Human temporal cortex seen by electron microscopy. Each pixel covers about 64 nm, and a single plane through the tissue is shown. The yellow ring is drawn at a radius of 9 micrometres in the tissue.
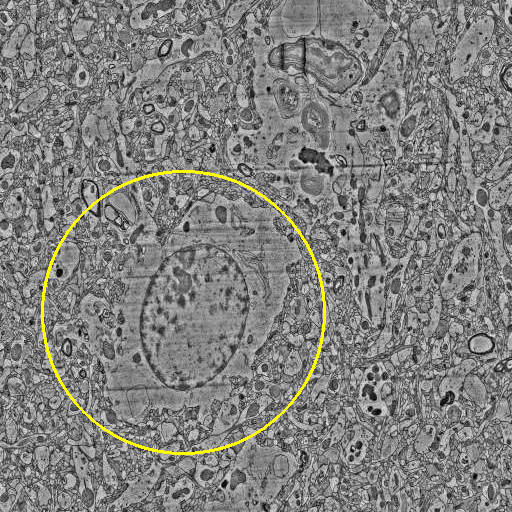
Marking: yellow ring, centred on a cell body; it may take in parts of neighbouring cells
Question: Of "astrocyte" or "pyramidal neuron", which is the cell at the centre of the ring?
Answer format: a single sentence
The ring surrounds the body of an astrocyte.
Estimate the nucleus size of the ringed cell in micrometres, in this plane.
In this plane, roughly 9 by 7 micrometres.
